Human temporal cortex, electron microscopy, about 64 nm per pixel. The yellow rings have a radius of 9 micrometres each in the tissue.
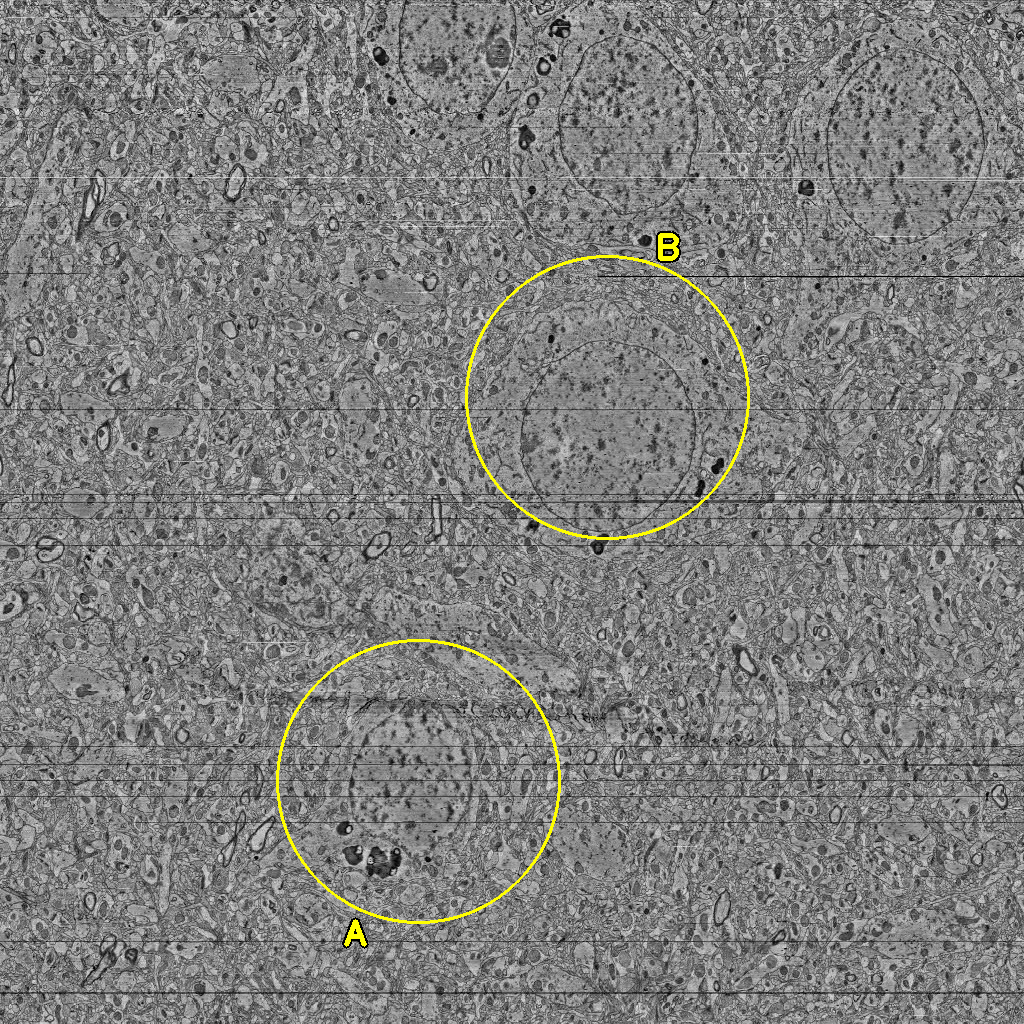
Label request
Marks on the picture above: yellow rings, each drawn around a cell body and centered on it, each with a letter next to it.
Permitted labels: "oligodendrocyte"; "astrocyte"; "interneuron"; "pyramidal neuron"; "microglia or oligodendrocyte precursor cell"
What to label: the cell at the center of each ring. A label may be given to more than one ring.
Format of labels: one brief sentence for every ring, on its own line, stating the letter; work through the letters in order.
The cell at the center of ring A is an interneuron.
The cell at the center of ring B is a pyramidal neuron.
